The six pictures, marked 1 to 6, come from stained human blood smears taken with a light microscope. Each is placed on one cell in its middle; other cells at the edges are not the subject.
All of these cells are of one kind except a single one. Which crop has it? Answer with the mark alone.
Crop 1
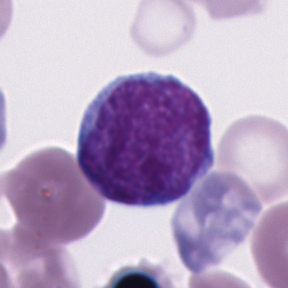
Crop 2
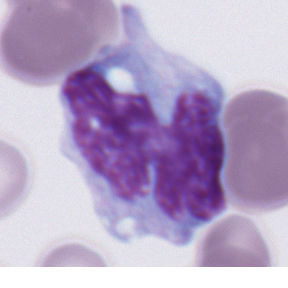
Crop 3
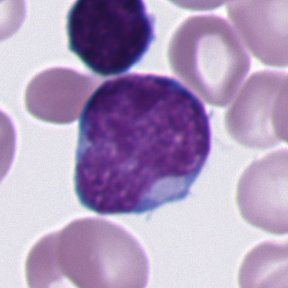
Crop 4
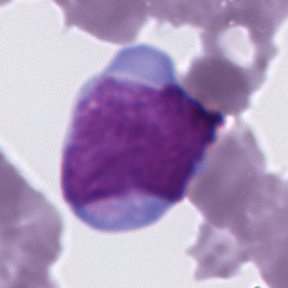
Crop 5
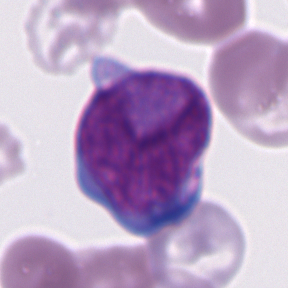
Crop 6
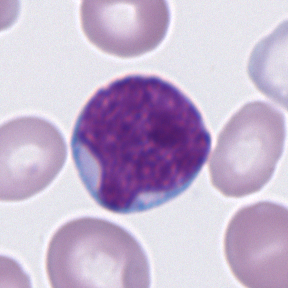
2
